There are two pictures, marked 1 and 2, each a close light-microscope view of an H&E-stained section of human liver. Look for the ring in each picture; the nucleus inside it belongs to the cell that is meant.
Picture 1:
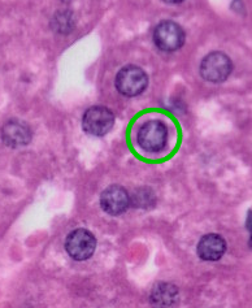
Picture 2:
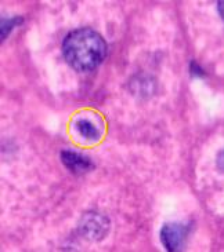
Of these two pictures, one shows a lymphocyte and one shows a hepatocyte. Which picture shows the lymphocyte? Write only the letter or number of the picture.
2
